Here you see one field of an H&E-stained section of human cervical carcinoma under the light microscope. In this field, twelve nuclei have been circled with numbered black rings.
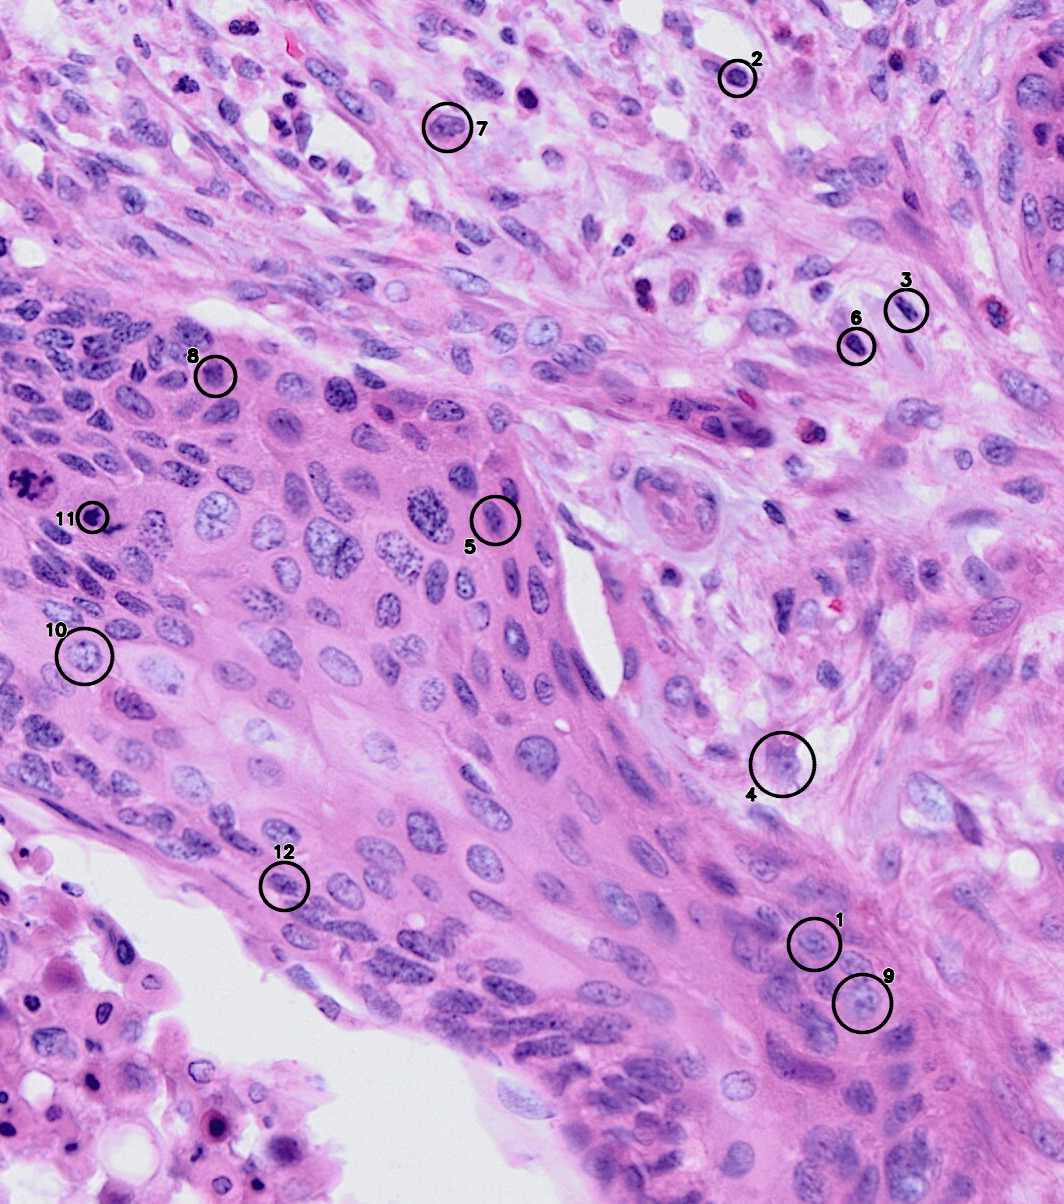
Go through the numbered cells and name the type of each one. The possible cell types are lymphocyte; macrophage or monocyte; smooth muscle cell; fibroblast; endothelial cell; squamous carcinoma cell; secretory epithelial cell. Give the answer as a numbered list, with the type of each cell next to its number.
1. squamous carcinoma cell
2. lymphocyte
3. lymphocyte
4. fibroblast
5. squamous carcinoma cell
6. lymphocyte
7. macrophage or monocyte
8. squamous carcinoma cell
9. squamous carcinoma cell
10. squamous carcinoma cell
11. squamous carcinoma cell
12. squamous carcinoma cell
